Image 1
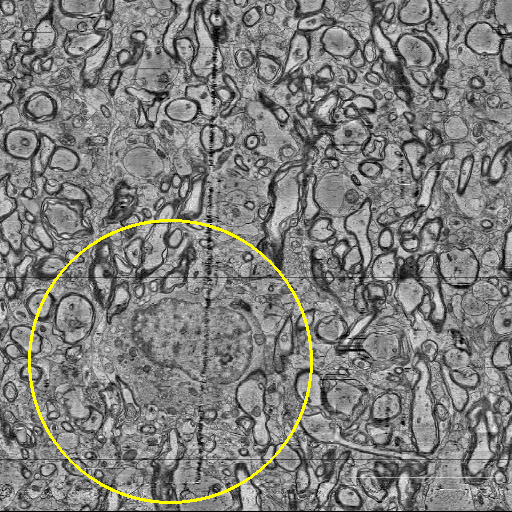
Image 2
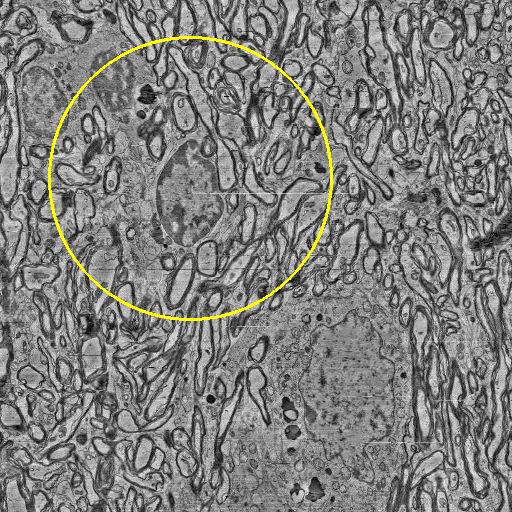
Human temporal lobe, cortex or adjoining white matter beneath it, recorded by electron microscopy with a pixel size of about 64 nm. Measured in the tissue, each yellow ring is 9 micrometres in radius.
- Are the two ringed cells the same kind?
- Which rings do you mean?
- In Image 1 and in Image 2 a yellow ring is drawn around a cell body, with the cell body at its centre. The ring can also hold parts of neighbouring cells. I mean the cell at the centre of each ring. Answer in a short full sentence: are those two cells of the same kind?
No, the cells are of two kinds.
